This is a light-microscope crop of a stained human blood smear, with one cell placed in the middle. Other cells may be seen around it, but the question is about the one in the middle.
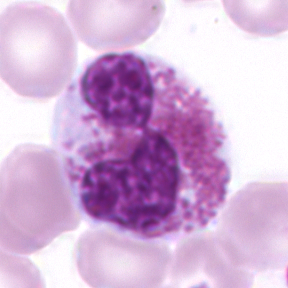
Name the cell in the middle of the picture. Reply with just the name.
eosinophil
